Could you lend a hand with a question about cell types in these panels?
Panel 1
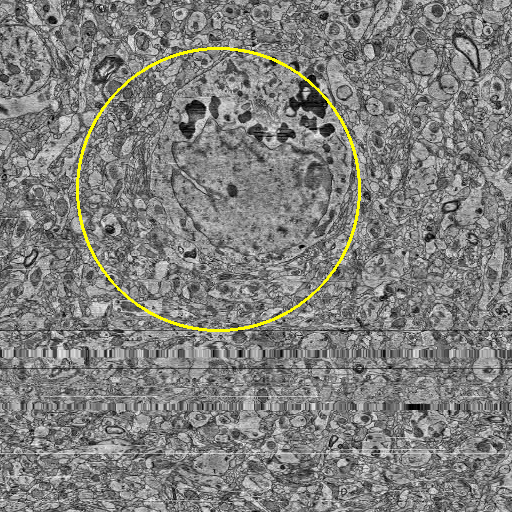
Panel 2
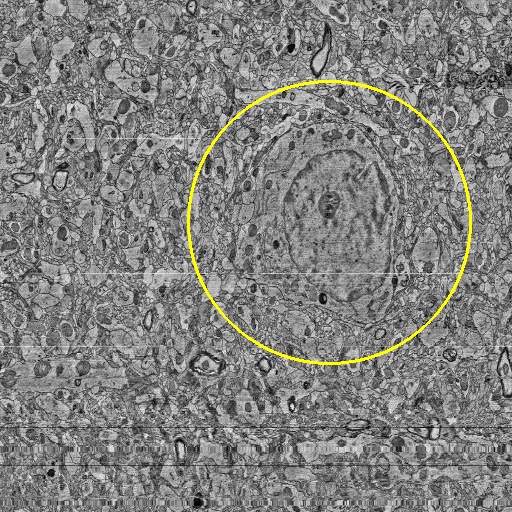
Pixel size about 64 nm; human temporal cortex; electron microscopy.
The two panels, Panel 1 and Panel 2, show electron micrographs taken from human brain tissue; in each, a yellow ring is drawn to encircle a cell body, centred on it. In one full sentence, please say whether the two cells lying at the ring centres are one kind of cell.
Yes, the cells at the ring centres in the two panels are one kind of cell.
